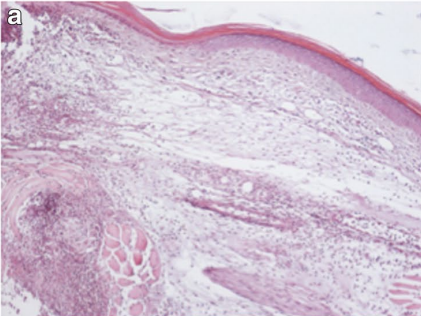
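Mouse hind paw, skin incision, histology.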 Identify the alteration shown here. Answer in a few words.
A: Acute inflammatory infiltration.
